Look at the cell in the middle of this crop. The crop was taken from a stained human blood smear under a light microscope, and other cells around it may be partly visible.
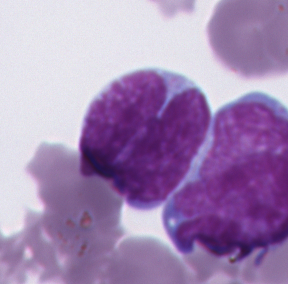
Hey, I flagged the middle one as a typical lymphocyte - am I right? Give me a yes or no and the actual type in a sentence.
No, the central cell is not to be called a typical lymphocyte, being a myeloblast.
